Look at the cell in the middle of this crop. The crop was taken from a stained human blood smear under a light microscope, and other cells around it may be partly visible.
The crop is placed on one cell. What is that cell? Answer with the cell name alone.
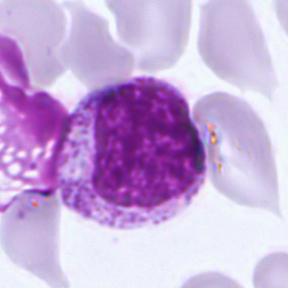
myelocyte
